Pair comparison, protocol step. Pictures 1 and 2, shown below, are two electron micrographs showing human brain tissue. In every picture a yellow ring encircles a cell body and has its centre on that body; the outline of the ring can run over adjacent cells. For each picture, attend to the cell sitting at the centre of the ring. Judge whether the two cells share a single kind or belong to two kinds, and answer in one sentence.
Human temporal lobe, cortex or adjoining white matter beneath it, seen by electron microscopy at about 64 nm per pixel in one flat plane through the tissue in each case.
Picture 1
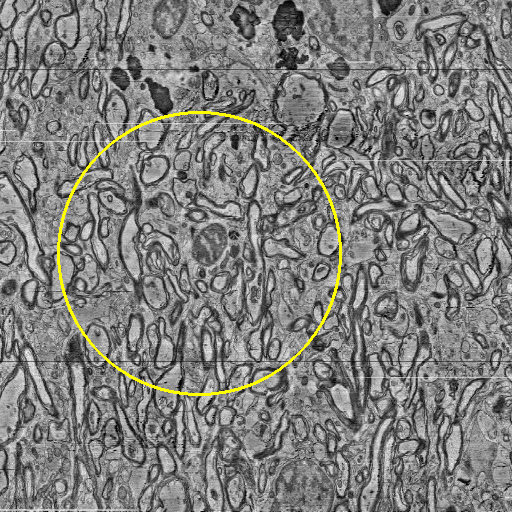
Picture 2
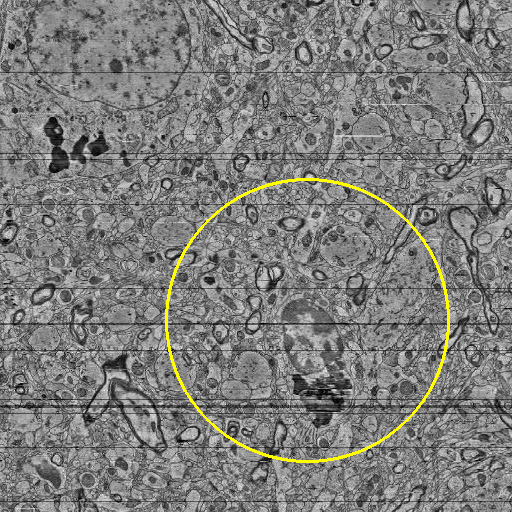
The two cells at the ring centres in Picture 1 and Picture 2 share a single kind.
